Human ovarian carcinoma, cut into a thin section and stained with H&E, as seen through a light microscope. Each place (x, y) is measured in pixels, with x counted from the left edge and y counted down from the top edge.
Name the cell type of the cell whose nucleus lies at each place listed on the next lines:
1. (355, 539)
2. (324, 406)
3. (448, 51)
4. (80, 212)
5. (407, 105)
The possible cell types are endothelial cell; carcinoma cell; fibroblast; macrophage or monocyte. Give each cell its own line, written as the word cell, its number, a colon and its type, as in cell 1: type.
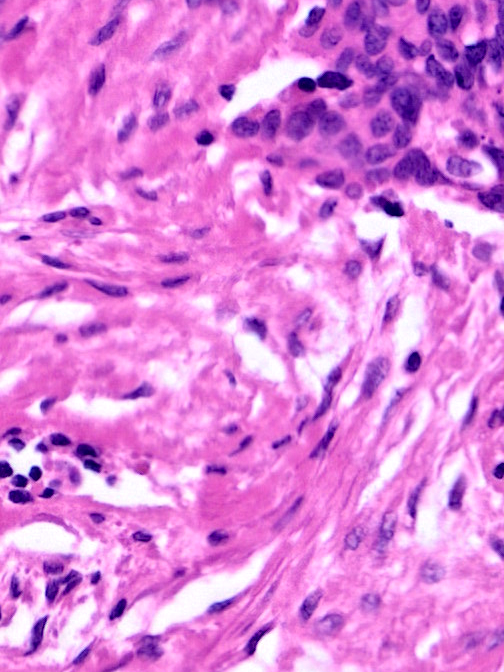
cell 1: fibroblast
cell 2: fibroblast
cell 3: carcinoma cell
cell 4: fibroblast
cell 5: carcinoma cell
